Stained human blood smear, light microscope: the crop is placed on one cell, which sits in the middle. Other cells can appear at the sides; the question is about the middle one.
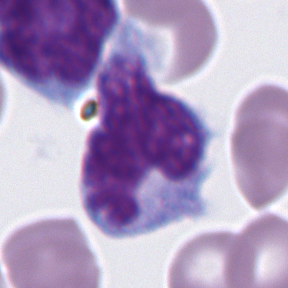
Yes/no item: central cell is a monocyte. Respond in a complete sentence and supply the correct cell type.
Yes, the cell lying in the middle is a monocyte.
